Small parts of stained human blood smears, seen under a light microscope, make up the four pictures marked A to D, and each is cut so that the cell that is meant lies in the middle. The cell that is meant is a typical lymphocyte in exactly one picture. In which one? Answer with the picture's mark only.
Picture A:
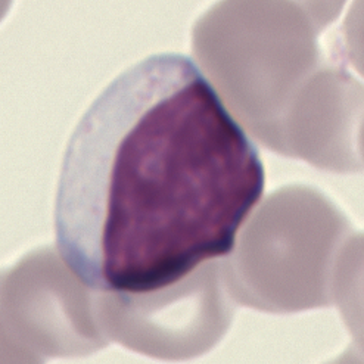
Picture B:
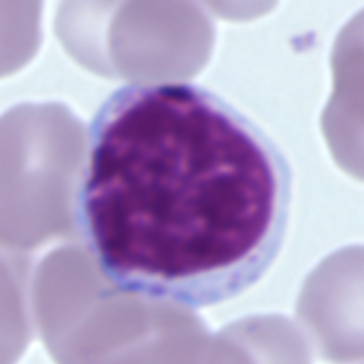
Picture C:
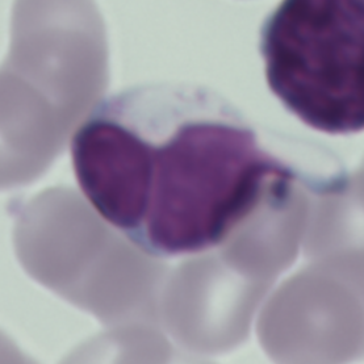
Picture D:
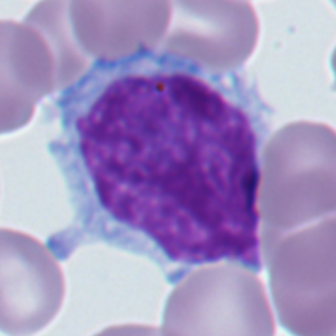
D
